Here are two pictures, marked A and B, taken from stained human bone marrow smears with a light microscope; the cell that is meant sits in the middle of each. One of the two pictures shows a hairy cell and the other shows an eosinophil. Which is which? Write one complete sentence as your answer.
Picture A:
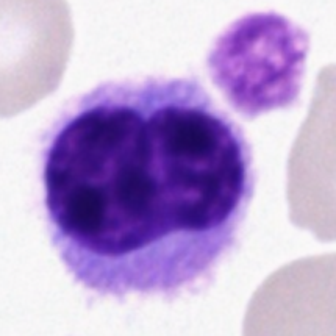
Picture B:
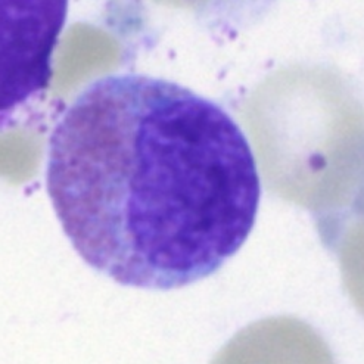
Picture B shows an eosinophil, while picture A shows a hairy cell.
